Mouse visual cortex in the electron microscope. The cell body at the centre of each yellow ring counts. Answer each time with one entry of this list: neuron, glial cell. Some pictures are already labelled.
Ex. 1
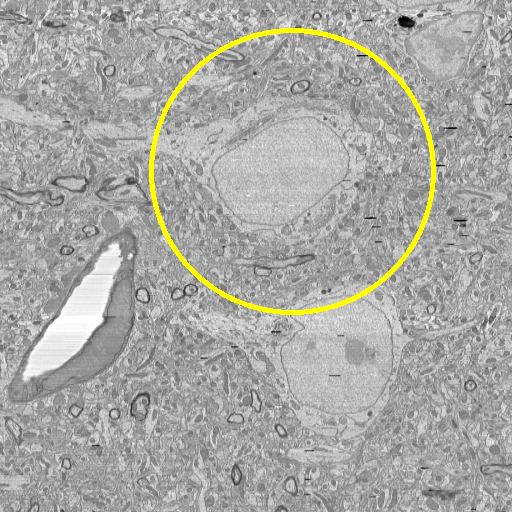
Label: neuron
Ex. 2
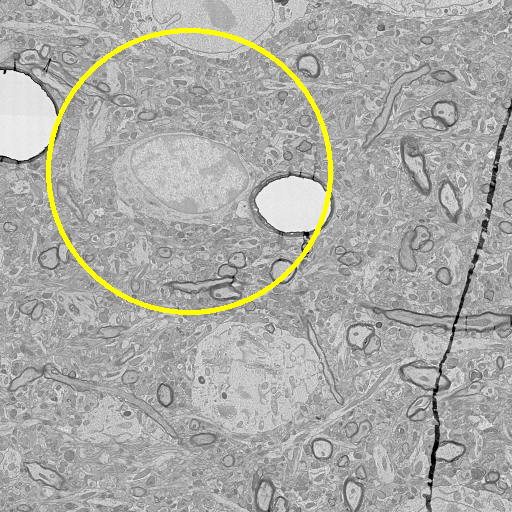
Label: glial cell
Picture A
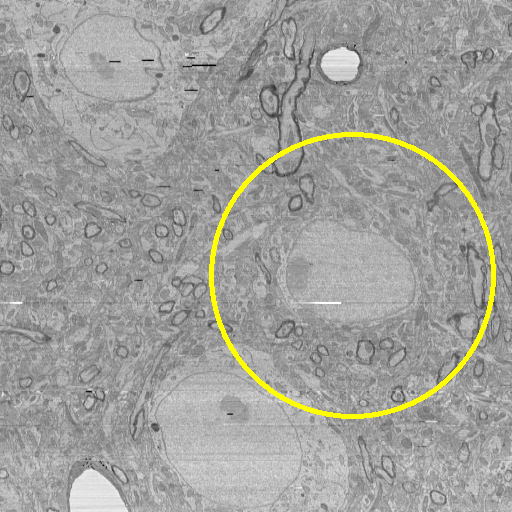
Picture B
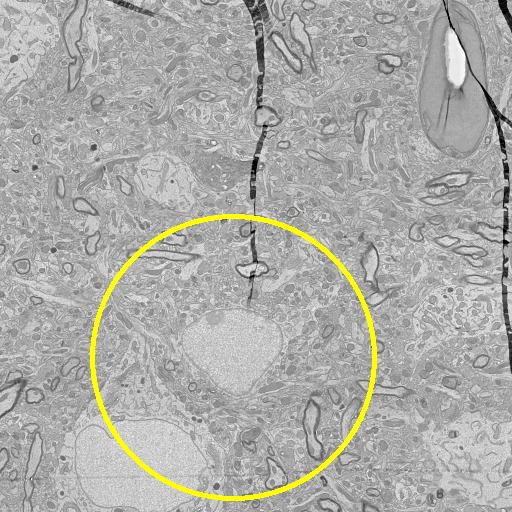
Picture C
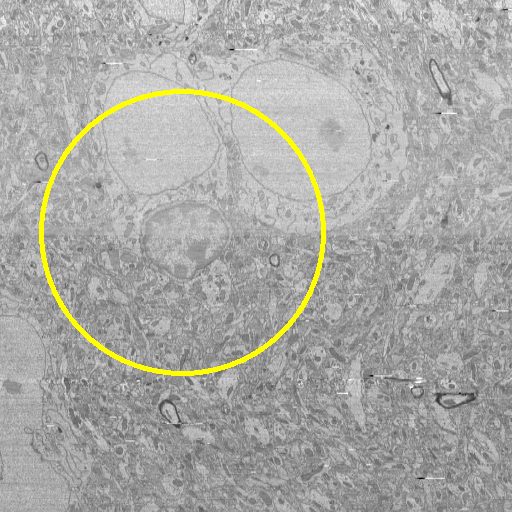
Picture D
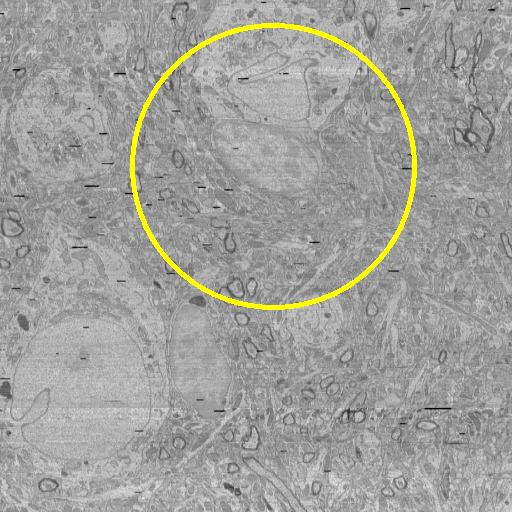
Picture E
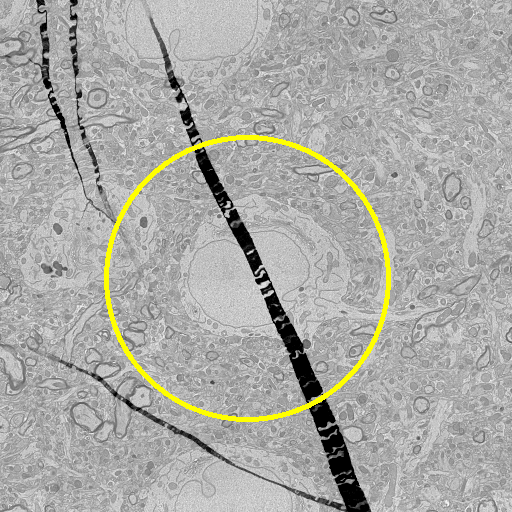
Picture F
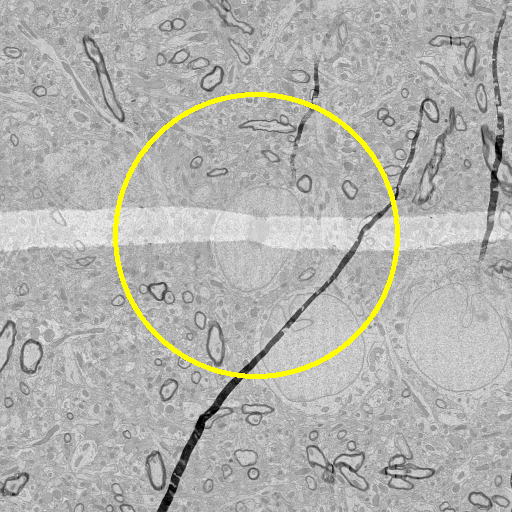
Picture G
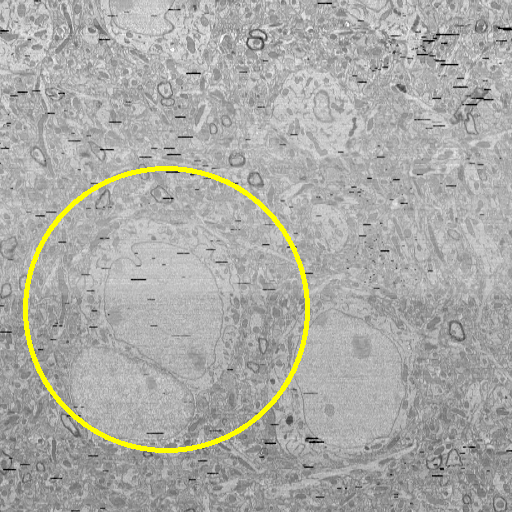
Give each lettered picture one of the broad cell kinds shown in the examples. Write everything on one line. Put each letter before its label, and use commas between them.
A glial cell, B glial cell, C glial cell, D glial cell, E neuron, F glial cell, G neuron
